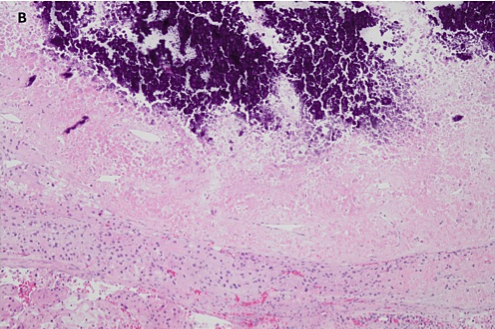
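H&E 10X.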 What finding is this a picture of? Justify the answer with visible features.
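Calcifications. Dark purple, granular, cracked deposits occupy the upper part of the panel. The deposits lie within pale pink acellular material above a cellular band.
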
